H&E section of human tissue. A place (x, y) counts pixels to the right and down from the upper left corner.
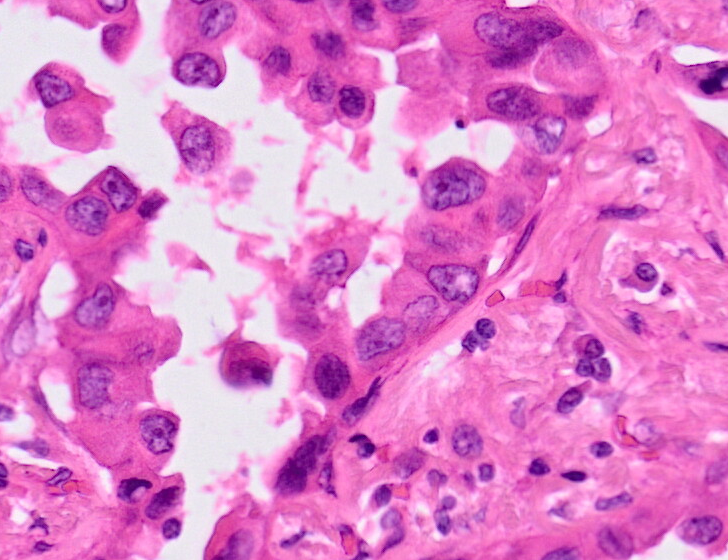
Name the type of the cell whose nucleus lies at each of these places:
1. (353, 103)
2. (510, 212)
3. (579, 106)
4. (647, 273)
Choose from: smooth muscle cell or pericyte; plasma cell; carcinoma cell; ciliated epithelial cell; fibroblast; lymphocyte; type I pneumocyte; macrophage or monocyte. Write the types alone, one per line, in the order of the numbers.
carcinoma cell
carcinoma cell
carcinoma cell
plasma cell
